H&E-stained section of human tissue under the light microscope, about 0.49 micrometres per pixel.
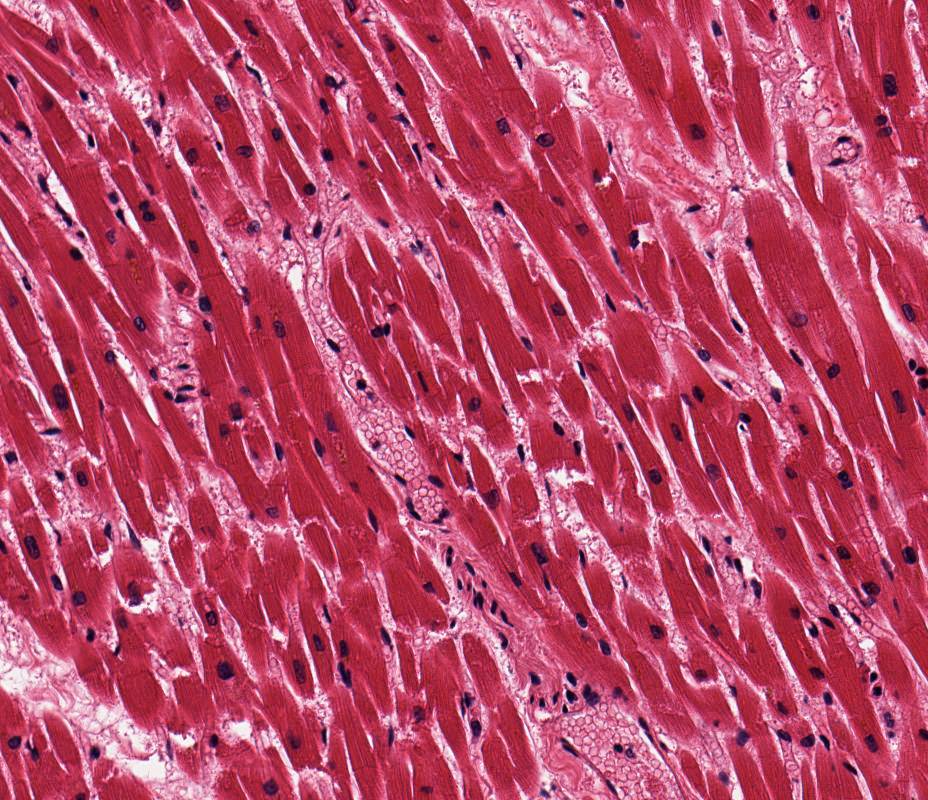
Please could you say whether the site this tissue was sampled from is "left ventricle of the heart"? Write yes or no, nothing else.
yes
